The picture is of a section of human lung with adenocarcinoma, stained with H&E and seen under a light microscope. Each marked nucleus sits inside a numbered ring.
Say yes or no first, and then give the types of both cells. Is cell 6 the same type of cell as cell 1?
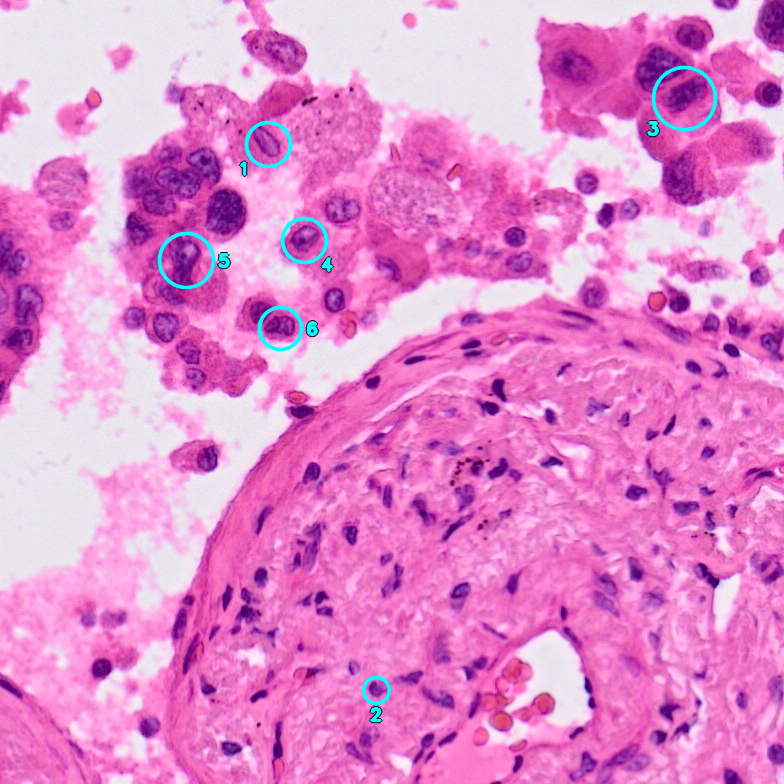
Yes, both are macrophages or monocytes.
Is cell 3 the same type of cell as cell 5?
Yes, both are carcinoma cells.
